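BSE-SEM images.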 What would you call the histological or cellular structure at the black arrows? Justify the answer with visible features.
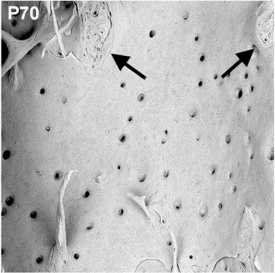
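Borders between regions of osteoclastic resorption and unresorbed bone surfaces. The arrows point to the edges of rough, pitted patches within an otherwise smooth bone surface.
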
